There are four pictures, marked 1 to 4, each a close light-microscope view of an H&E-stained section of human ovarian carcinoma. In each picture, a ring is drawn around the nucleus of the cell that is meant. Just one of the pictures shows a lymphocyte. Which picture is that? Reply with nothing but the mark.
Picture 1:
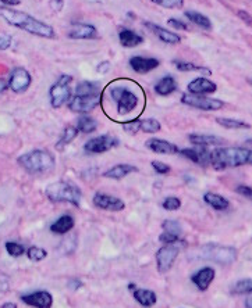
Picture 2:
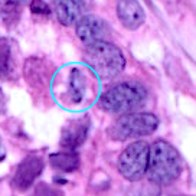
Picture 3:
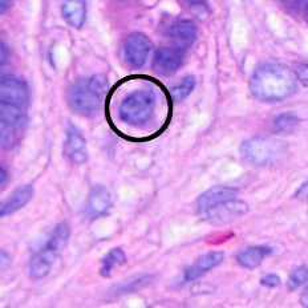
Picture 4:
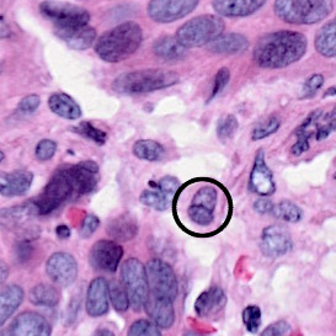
1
